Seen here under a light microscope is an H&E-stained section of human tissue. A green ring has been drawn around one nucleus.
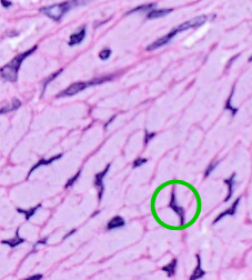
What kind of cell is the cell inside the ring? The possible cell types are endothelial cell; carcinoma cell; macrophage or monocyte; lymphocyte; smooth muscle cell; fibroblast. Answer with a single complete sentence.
Microscopically, the cell inside the ring is categorized as a fibroblast.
